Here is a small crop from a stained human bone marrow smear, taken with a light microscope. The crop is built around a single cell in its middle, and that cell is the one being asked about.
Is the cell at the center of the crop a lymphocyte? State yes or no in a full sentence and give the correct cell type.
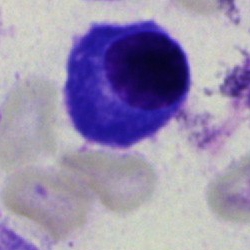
No, the correct answer for the middle cell is a plasma cell, not a lymphocyte.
